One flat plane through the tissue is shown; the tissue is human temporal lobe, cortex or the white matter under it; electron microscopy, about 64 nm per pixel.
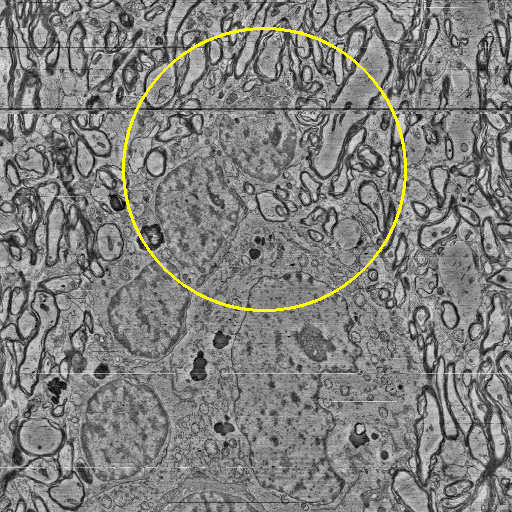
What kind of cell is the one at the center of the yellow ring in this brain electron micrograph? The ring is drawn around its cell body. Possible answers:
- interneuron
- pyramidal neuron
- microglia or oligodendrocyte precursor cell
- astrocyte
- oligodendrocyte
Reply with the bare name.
oligodendrocyte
